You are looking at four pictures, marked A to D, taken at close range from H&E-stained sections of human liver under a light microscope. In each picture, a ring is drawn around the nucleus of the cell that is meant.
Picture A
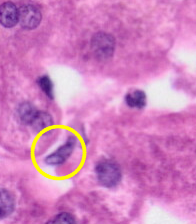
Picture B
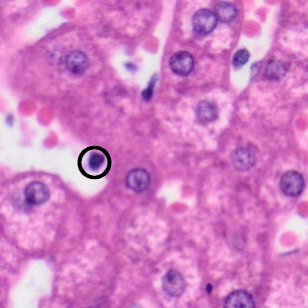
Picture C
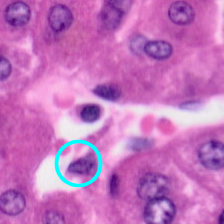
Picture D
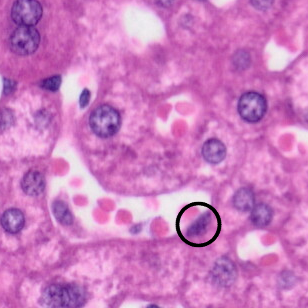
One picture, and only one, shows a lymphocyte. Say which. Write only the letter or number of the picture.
B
